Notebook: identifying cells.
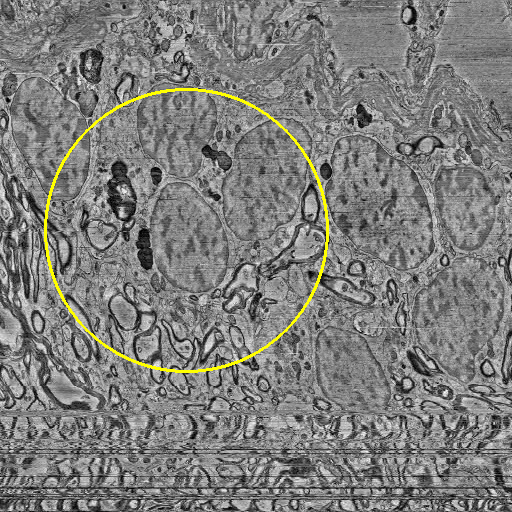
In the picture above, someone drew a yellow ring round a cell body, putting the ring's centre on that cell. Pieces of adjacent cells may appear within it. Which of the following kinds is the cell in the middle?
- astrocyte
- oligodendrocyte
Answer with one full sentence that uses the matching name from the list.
In this picture, the yellow ring is centred on the body of an oligodendrocyte.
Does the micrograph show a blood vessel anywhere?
Yes, a blood vessel is present in this picture.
